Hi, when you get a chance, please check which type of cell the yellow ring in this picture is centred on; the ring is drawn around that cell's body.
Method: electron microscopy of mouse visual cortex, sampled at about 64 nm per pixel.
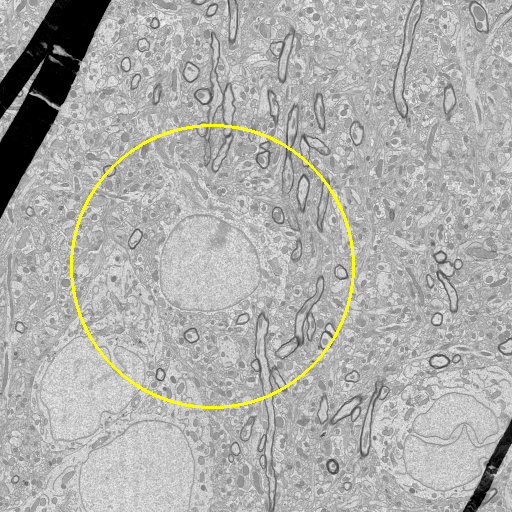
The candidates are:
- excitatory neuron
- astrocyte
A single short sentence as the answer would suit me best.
The ring is drawn around the body of an astrocyte.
